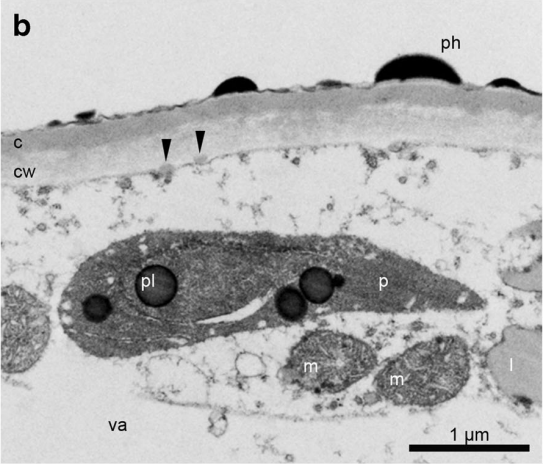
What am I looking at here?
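Below the wall lies a thin layer of cytoplasm with a fine network of membranes and a large pale vacuole. An elongated dense plastid contains several round, very electron-dense plastoglobuli, and two mitochondria with internal cristae lie beside it. Small dense vesicles sit at the inner face of the cell wall, where they appear to fuse with the plasma membrane.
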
